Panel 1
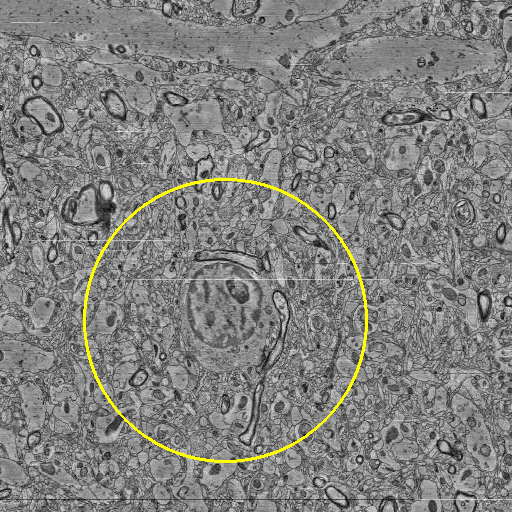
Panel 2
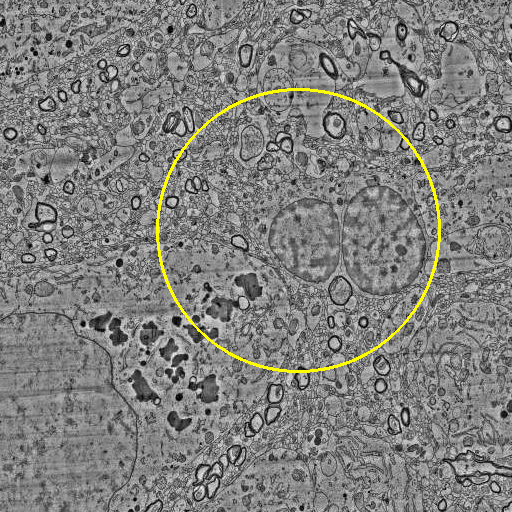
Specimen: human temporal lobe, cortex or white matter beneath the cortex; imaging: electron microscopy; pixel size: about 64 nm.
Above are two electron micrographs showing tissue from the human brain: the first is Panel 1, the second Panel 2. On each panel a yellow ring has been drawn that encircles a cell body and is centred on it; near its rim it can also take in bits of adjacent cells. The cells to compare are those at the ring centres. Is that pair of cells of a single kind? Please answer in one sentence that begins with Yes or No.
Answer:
Yes, the ring-centred cells of Panel 1 and Panel 2 belong to one kind.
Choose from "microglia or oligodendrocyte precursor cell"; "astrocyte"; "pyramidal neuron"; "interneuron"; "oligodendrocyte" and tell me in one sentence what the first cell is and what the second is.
The ring centre holds an oligodendrocyte in each of the two pictures.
